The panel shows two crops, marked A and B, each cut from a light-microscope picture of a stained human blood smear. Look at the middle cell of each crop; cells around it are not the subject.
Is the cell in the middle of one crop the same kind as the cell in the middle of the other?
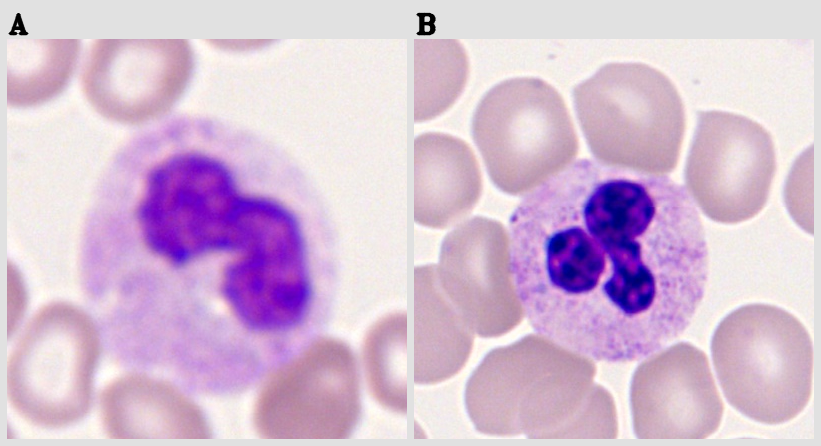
yes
